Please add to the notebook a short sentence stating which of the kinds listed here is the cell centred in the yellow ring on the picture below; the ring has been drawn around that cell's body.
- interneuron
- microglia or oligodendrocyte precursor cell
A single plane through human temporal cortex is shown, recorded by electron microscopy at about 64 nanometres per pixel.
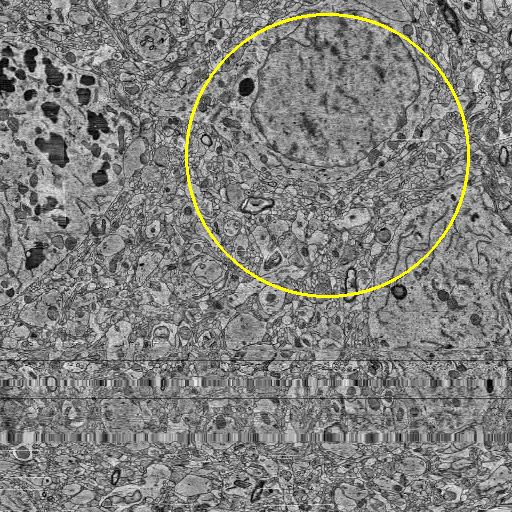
The cell centred in the yellow ring is an interneuron.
